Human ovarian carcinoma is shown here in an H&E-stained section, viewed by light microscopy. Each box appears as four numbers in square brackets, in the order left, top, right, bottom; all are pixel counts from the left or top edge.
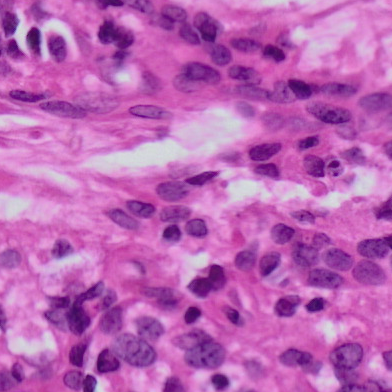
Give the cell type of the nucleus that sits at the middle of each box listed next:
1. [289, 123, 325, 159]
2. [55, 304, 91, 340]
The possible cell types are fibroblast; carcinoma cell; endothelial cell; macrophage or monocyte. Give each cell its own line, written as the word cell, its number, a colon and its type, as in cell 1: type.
cell 1: endothelial cell
cell 2: carcinoma cell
